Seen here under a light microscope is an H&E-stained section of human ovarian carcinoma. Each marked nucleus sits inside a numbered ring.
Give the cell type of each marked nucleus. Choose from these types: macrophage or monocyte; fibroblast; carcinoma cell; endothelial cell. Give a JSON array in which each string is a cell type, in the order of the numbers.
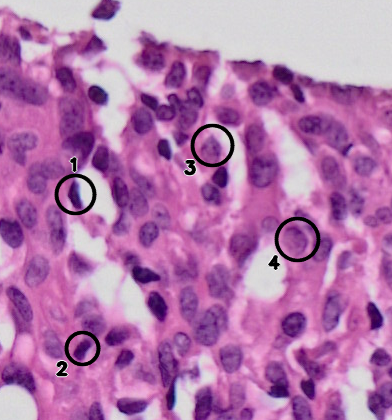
["carcinoma cell", "carcinoma cell", "macrophage or monocyte", "carcinoma cell"]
